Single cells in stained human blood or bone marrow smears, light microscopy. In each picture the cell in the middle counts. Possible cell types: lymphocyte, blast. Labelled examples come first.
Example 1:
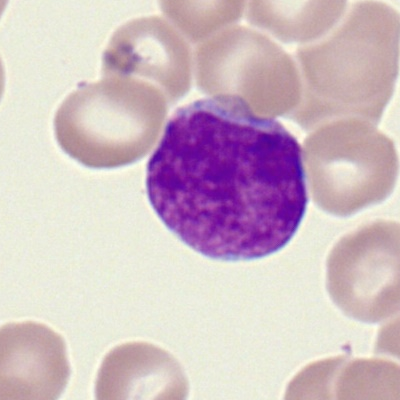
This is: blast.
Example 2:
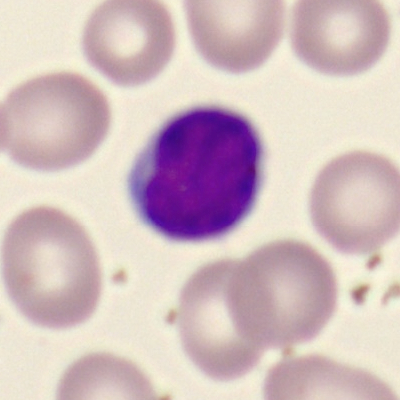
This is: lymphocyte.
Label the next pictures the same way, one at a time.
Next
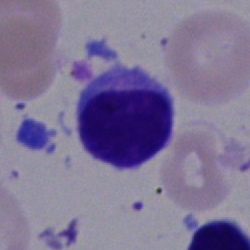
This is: lymphocyte.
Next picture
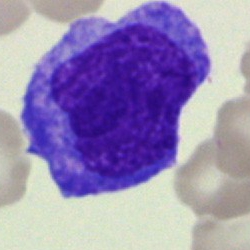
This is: blast.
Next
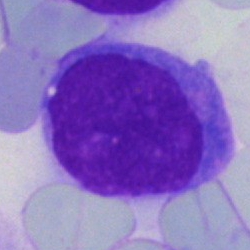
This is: blast.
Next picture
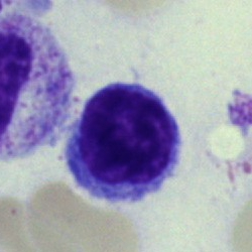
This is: lymphocyte.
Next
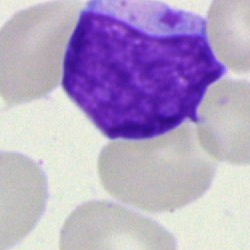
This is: blast.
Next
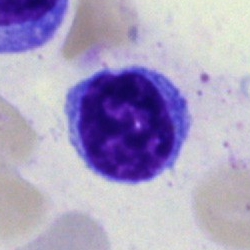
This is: lymphocyte.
